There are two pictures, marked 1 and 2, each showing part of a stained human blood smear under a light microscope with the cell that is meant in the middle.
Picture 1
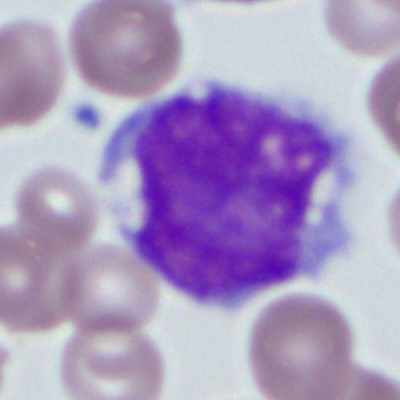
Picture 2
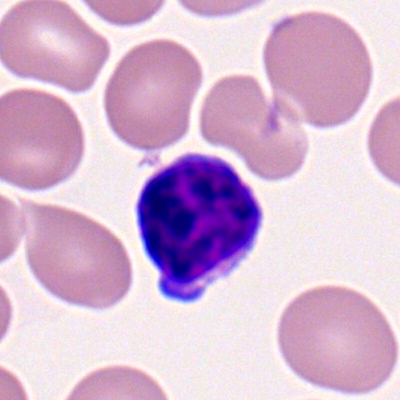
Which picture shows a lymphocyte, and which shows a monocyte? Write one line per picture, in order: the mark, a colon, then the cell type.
1: monocyte
2: lymphocyte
